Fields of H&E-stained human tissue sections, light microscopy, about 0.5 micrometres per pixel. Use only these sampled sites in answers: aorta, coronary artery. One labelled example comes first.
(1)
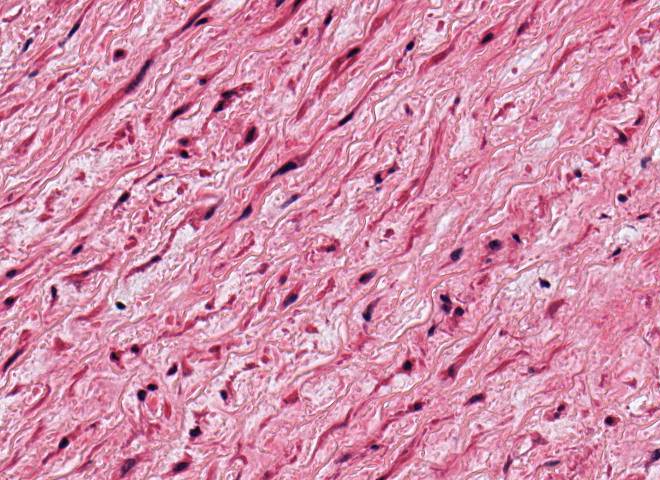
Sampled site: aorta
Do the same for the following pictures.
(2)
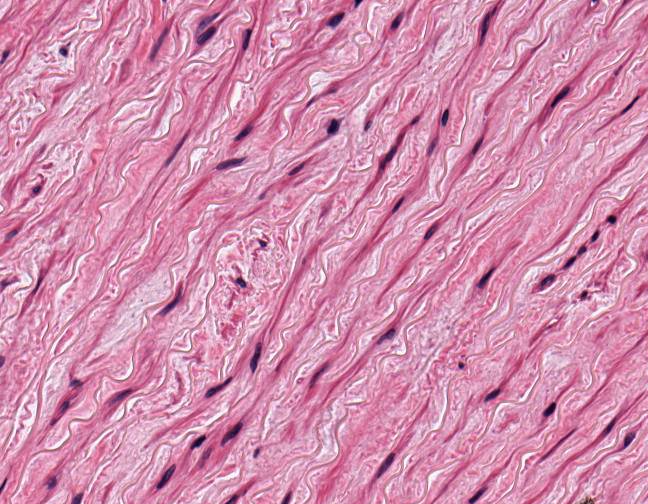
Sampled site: aorta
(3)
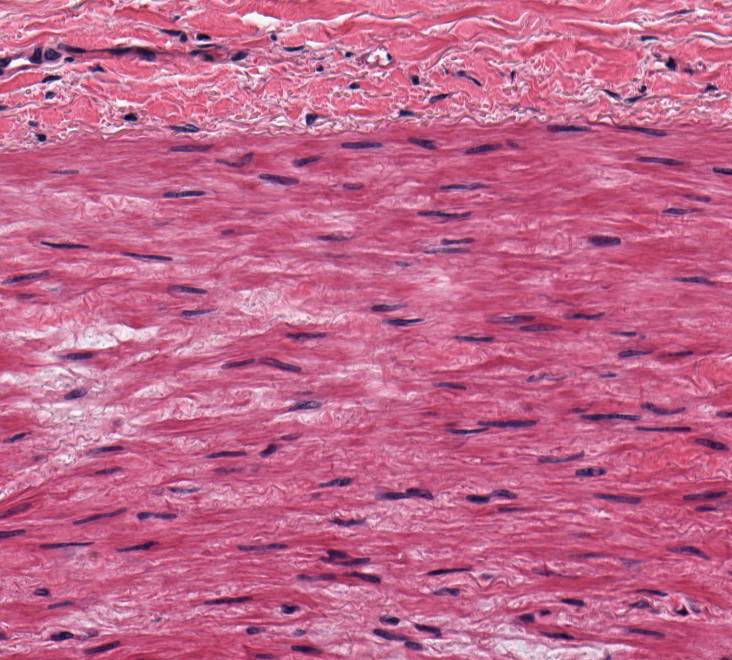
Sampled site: coronary artery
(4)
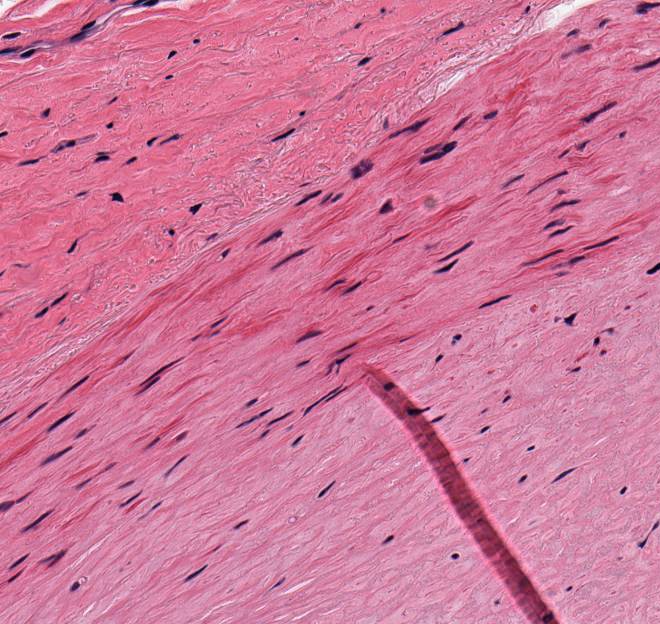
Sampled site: coronary artery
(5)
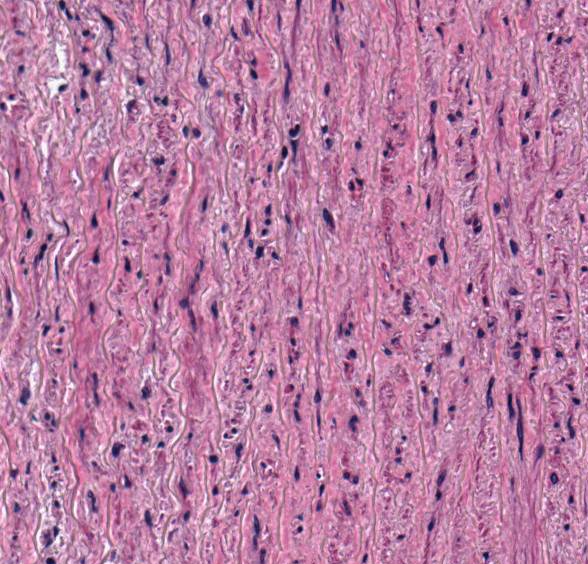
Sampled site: aorta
